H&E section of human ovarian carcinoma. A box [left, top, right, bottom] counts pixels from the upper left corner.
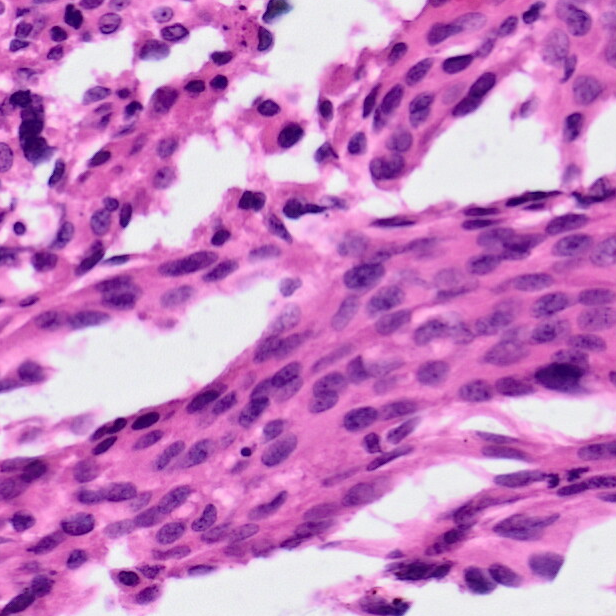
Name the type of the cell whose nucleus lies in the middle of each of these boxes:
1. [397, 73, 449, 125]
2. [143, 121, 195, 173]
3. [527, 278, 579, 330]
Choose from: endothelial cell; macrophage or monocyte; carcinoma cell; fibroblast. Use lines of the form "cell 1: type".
cell 1: carcinoma cell
cell 2: macrophage or monocyte
cell 3: carcinoma cell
